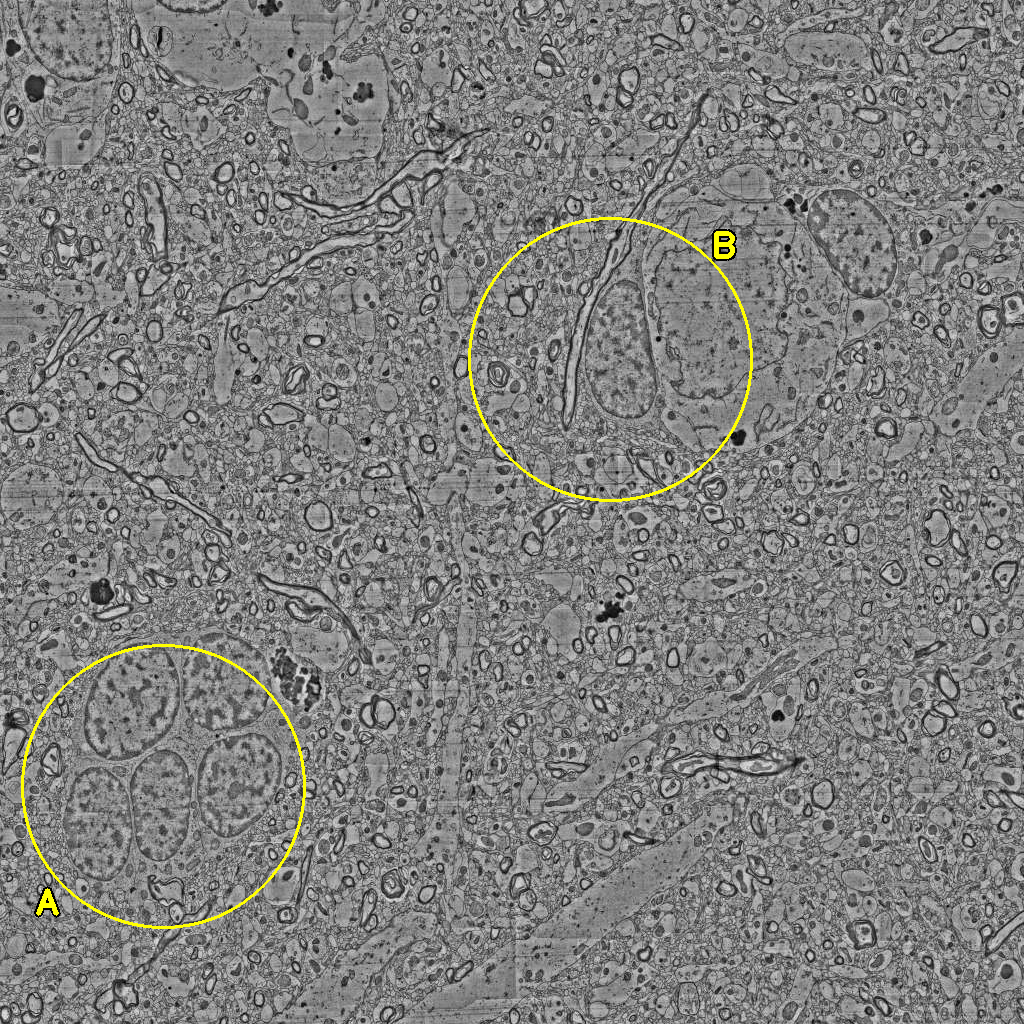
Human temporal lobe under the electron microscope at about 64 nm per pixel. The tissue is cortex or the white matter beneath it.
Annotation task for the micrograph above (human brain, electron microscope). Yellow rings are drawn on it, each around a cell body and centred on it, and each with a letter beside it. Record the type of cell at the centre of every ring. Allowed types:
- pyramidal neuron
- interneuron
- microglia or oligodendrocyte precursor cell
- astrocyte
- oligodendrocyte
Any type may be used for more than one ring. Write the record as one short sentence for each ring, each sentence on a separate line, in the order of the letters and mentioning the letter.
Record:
The cell centred in ring A is an oligodendrocyte.
The cell centred in ring B is an oligodendrocyte.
